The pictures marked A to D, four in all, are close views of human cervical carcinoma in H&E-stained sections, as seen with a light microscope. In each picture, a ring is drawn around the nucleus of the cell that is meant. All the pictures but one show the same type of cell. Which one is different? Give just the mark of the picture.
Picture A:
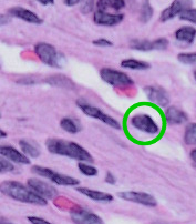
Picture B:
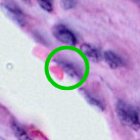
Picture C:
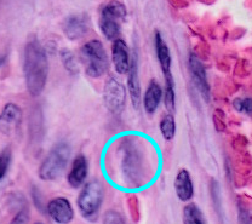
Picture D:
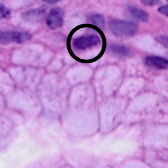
D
